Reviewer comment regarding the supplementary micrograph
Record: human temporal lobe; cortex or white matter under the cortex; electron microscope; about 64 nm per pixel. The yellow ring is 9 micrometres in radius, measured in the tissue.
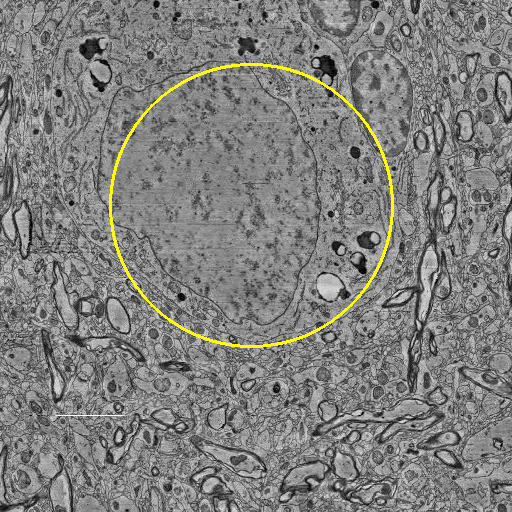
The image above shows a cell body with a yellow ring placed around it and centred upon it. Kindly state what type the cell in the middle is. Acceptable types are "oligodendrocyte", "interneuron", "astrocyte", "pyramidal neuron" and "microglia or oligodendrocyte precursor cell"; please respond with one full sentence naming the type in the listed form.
In the image above, the cell on which the yellow ring is centred is a pyramidal neuron.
